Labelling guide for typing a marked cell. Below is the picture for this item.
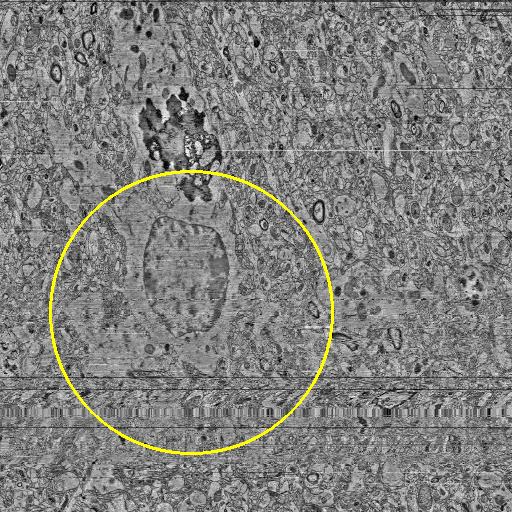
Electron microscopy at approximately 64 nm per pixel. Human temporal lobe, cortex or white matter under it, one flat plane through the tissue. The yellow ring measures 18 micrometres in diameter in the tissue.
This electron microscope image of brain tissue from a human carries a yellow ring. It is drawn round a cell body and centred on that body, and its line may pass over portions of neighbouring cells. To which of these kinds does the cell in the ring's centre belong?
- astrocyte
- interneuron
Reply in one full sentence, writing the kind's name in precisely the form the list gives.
Here we have an astrocyte at the centre of the yellow ring in the picture.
